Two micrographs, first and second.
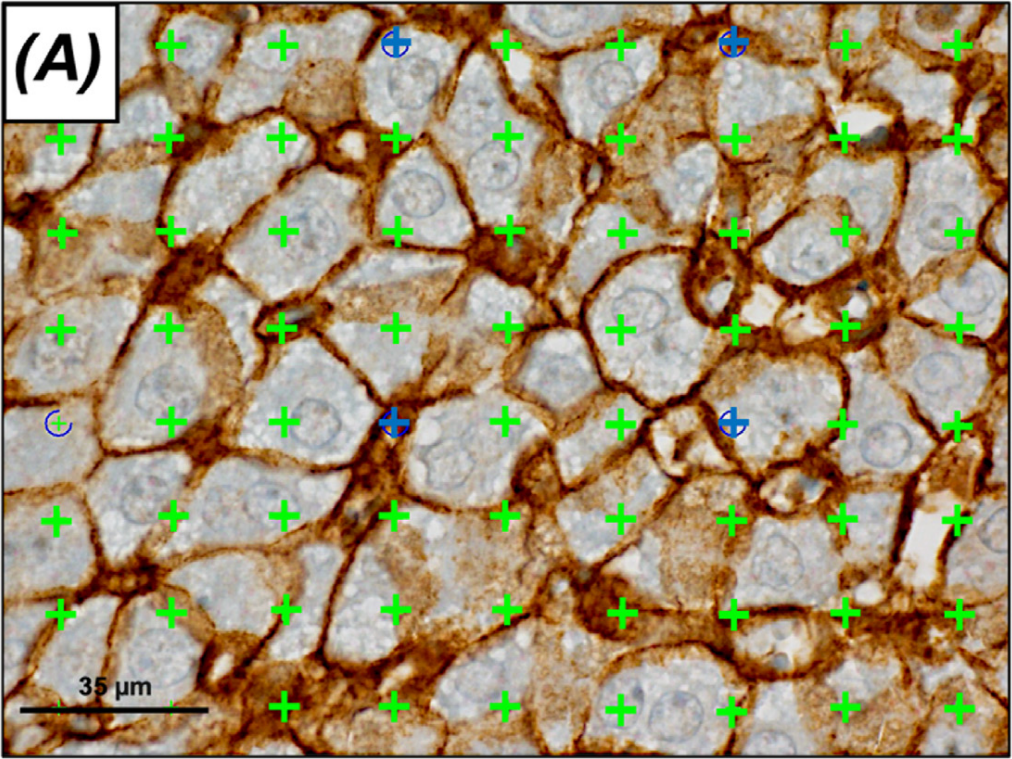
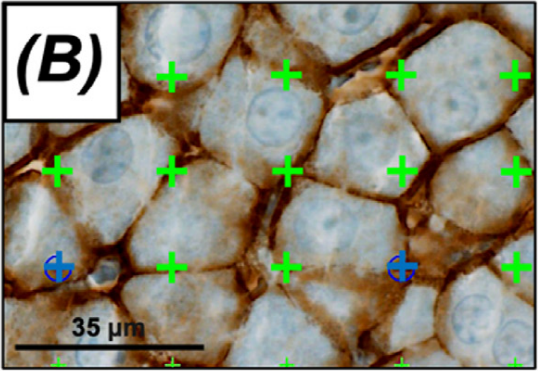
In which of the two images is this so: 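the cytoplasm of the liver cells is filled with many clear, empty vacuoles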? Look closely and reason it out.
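First image: the cytoplasm of most cells holds numerous small round clear vacuoles.
Answer: the first image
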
